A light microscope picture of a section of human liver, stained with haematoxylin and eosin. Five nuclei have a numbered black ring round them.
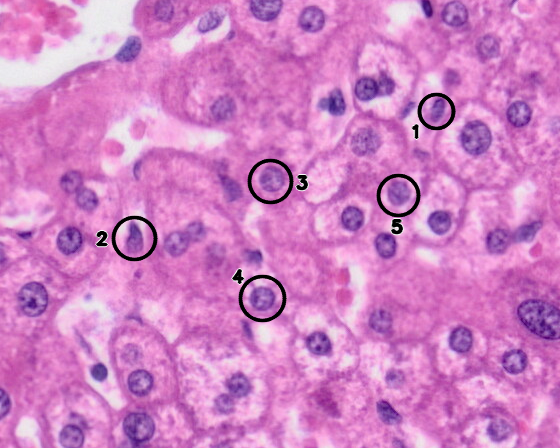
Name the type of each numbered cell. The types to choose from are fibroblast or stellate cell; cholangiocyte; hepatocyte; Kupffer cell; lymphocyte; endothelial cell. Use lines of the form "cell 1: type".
cell 1: Kupffer cell
cell 2: Kupffer cell
cell 3: hepatocyte
cell 4: hepatocyte
cell 5: hepatocyte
